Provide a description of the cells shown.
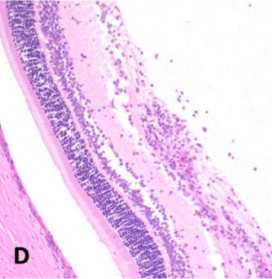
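This section shows the retina and the adjacent vitreous with inflammatory cells. The retina runs as a curved band with densely packed purple nuclear layers separated by paler pink layers. On its inner side, a cluster of small dark round nuclei lies in the pink, loosely textured material next to the retina. Further scattered small round cells are seen in the pale space beside it. The outer wall of the eye appears as pink tissue along one edge.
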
